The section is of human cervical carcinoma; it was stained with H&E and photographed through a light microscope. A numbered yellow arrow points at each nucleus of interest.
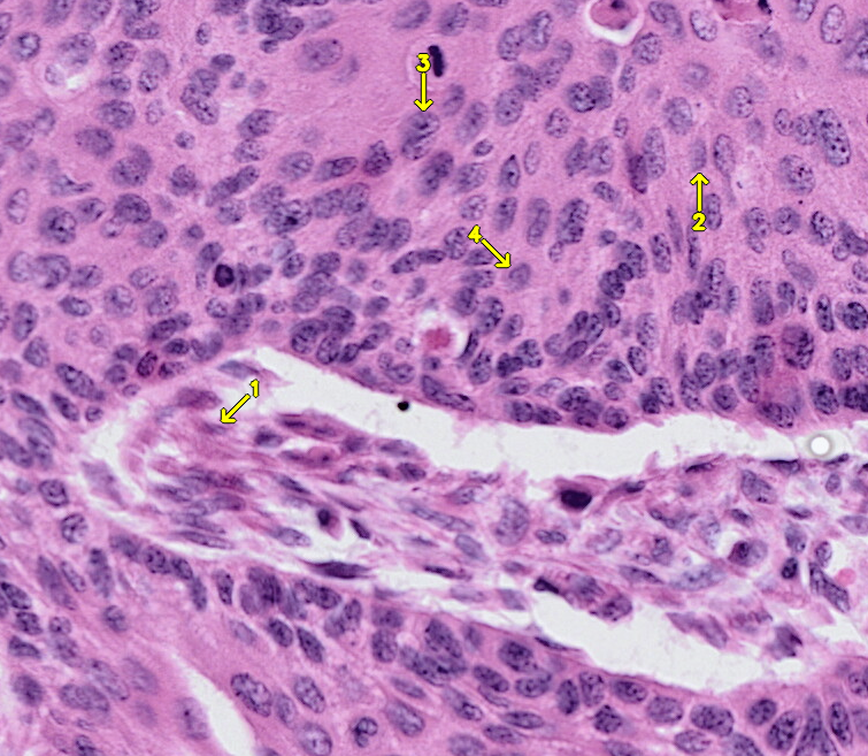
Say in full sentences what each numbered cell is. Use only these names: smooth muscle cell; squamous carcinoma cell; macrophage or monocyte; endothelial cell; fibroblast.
Cell 1 is a fibroblast, cell 2 is a squamous carcinoma cell, cell 3 is a squamous carcinoma cell and cell 4 is a squamous carcinoma cell.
